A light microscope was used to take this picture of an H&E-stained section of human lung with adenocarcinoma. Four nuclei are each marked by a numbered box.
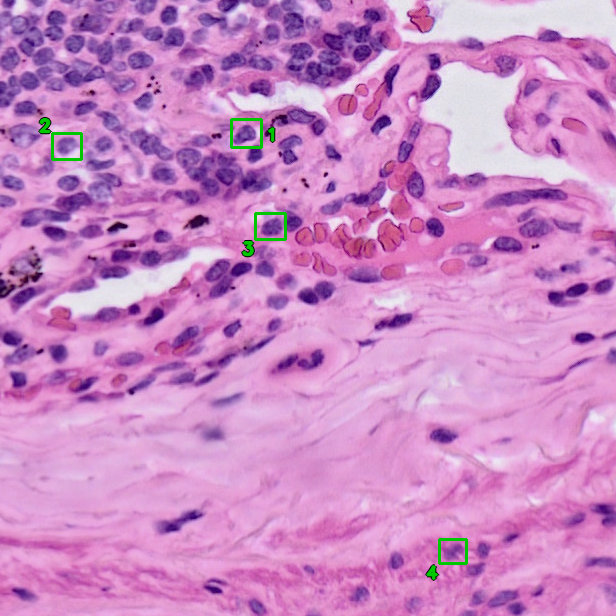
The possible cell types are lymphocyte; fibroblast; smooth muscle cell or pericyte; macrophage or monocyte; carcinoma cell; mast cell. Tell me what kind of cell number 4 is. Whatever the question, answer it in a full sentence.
What the number 4 marks in this field is a smooth muscle cell or pericyte.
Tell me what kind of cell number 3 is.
The cell indicated with the number 3 is classed as a lymphocyte.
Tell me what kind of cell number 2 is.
Here the cell numbered 2 is a lymphocyte.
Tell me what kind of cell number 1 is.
The cell identified by number 1 is a lymphocyte.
